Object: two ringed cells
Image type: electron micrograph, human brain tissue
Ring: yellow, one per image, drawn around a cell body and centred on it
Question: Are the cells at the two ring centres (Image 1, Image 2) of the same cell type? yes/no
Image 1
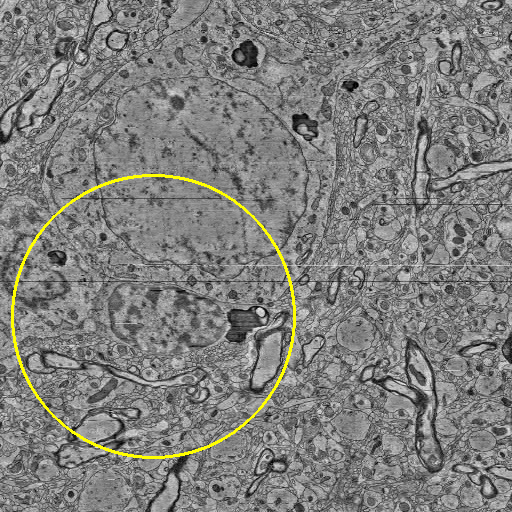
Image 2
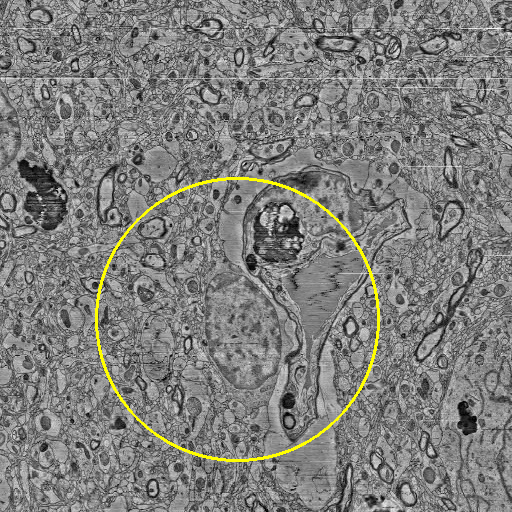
yes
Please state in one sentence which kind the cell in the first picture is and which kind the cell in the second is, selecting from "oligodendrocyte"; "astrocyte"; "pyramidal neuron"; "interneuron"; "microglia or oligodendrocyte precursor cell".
In each of the two pictures, the ringed cell is an oligodendrocyte.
